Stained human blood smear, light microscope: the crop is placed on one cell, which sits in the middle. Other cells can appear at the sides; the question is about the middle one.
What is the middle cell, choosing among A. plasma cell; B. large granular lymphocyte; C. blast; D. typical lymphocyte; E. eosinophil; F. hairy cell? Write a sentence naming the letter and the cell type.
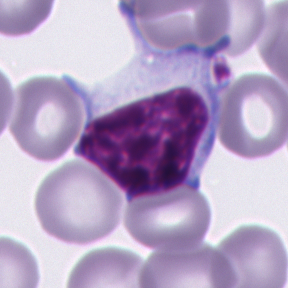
That the central cell is a typical lymphocyte makes option D correct.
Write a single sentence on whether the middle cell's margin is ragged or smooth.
As for its outline, the cell is irregular, ragged or drawn into projections.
